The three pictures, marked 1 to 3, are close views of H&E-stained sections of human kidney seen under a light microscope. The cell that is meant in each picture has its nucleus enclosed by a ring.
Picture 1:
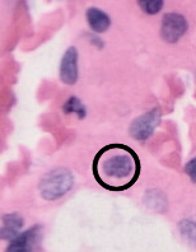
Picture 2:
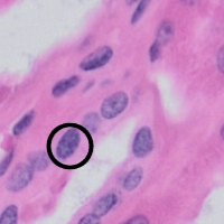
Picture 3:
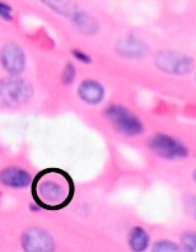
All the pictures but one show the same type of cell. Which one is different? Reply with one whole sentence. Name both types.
Unlike the rest, which show collecting duct cells, picture 1 shows a “loop of Henle or distal tubule cell”.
